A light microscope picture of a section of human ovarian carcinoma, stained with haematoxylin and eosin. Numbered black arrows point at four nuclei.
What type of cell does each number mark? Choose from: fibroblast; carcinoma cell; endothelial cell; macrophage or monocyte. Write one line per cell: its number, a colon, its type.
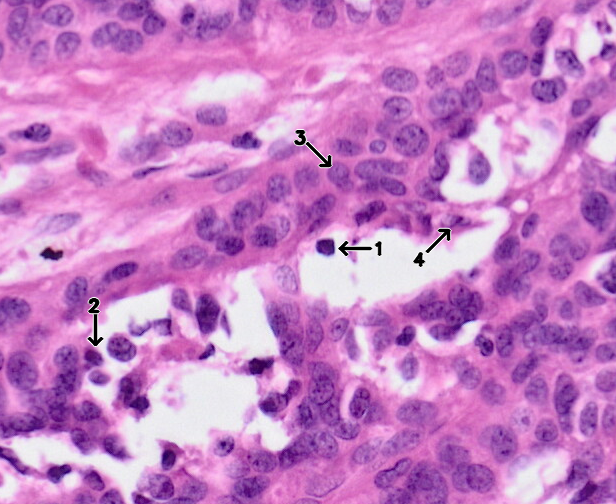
1: carcinoma cell
2: carcinoma cell
3: carcinoma cell
4: macrophage or monocyte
